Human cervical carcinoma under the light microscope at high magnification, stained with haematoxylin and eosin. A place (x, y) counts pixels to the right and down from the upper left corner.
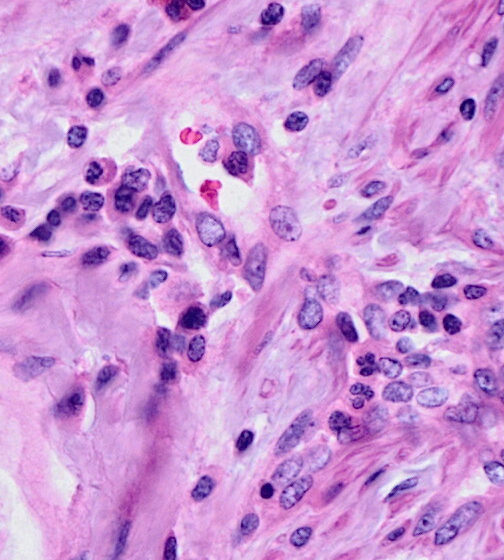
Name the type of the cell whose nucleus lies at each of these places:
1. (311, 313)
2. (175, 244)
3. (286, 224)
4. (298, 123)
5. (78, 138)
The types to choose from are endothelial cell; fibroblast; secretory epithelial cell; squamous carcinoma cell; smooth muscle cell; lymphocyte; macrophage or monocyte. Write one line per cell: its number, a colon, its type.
1: endothelial cell
2: lymphocyte
3: endothelial cell
4: lymphocyte
5: lymphocyte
